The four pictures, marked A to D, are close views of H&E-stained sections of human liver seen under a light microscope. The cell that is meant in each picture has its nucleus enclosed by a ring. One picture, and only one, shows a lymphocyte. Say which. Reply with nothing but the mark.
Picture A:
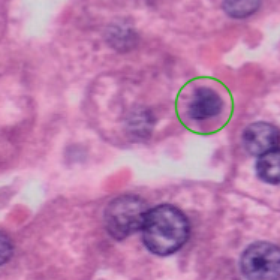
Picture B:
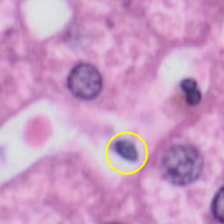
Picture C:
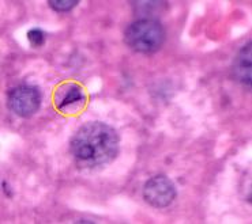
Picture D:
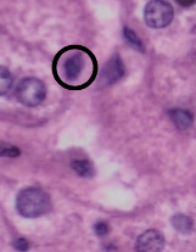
B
